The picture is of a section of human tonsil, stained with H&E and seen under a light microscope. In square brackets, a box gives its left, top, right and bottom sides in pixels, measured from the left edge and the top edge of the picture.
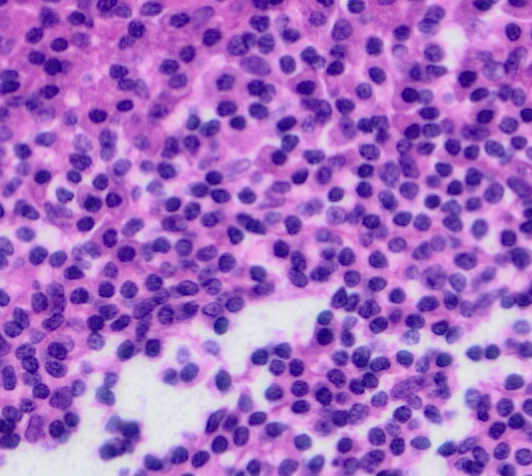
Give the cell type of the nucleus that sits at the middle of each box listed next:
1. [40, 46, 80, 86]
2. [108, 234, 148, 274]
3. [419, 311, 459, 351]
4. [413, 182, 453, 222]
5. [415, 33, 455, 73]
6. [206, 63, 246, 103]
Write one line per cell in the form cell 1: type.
cell 1: plasma cell
cell 2: plasma cell
cell 3: small lymphocyte
cell 4: small lymphocyte
cell 5: plasma cell
cell 6: plasma cell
